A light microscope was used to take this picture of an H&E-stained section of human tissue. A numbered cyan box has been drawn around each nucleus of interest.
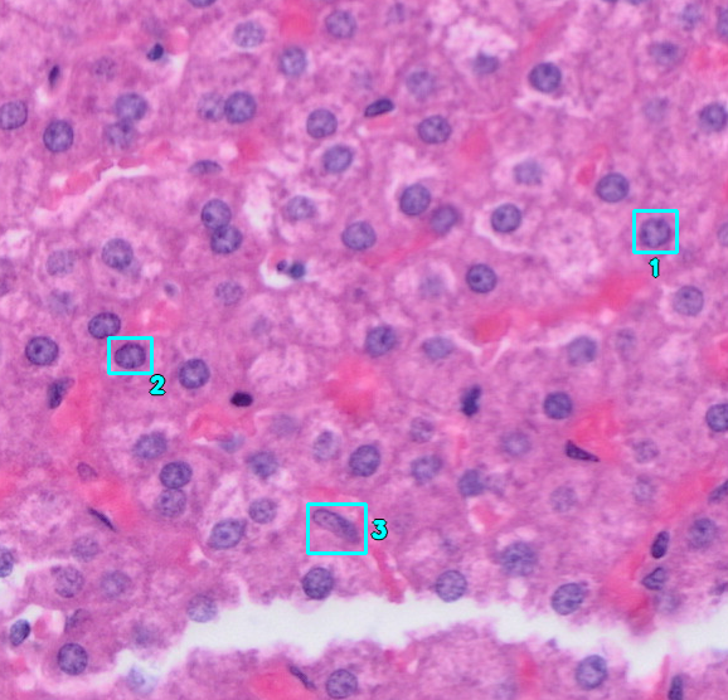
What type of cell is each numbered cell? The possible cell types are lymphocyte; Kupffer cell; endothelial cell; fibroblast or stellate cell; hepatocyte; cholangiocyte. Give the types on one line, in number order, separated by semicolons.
hepatocyte; hepatocyte; Kupffer cell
